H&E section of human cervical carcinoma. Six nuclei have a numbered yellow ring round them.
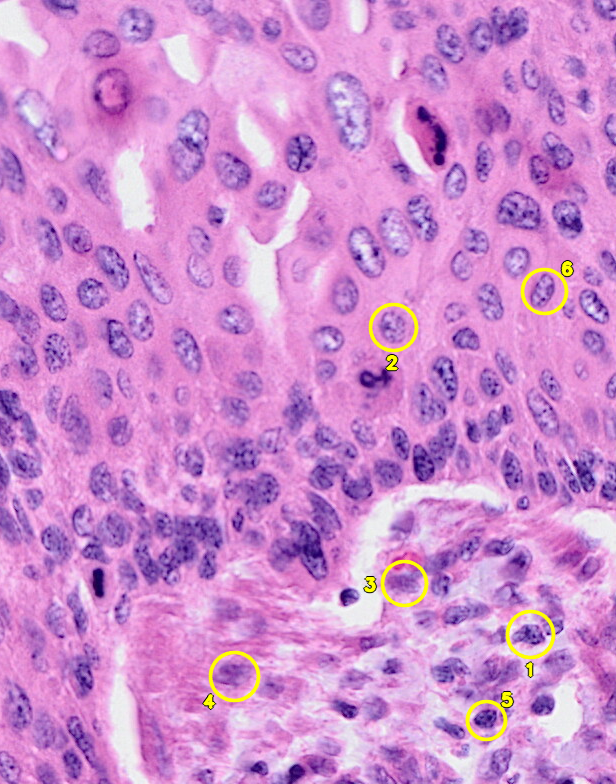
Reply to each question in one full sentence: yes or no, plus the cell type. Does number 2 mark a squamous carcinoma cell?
Yes, the cell given number 2 is a squamous carcinoma cell.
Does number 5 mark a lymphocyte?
Yes, cell number 5 in this section is a lymphocyte.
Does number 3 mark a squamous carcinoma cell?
No, number 3 belongs to an endothelial cell, not to a squamous carcinoma cell.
